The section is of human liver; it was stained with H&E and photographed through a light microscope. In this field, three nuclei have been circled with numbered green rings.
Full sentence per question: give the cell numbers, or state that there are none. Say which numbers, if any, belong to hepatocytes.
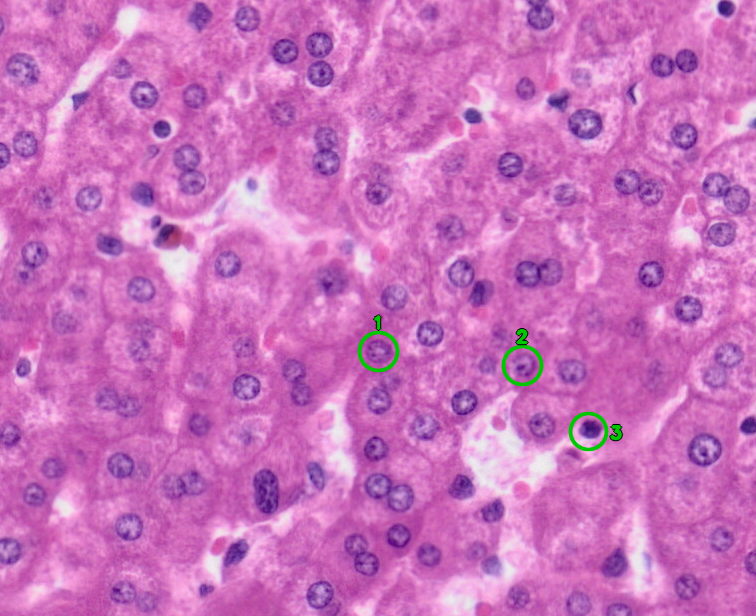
The cells identified by the numbers 1 and 2 are hepatocytes.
